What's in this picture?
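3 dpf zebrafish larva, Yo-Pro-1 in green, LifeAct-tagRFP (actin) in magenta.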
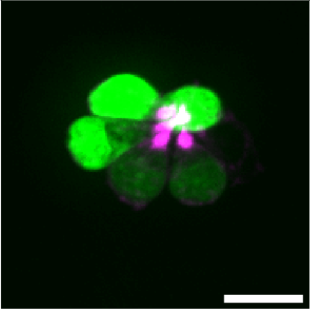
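A handful of rounded cell bodies sit packed together in a small rosette. Several cells in the upper half are bright green, while those below are fainter. At the centre, where the cells converge, there is a tight cluster of magenta dots and patches, partly overlapping the green to appear whitish. The surroundings are dark, so the organ stands out as an isolated, compact group of cells.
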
